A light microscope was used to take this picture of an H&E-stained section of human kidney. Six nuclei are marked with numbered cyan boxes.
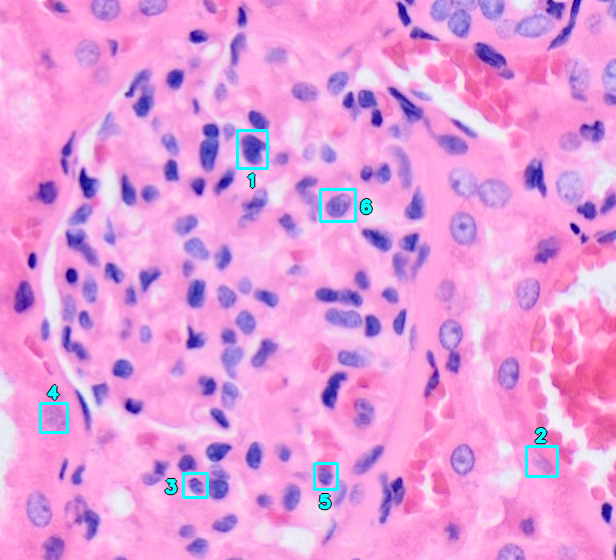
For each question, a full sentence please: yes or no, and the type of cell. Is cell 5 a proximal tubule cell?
No, cell 5 is not a proximal tubule cell; an endothelial cell is correct.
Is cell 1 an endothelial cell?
Yes, the cell at the mark numbered 1 is an endothelial cell.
